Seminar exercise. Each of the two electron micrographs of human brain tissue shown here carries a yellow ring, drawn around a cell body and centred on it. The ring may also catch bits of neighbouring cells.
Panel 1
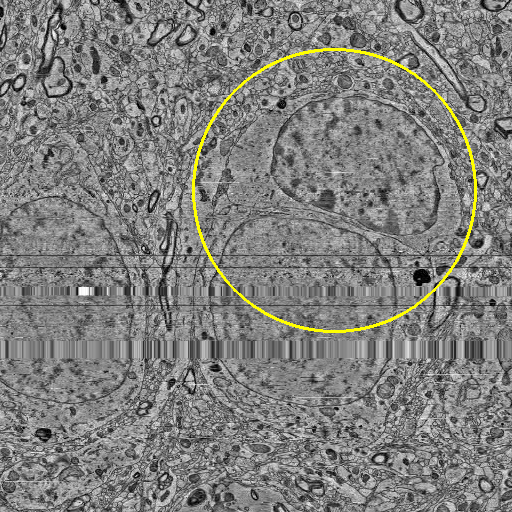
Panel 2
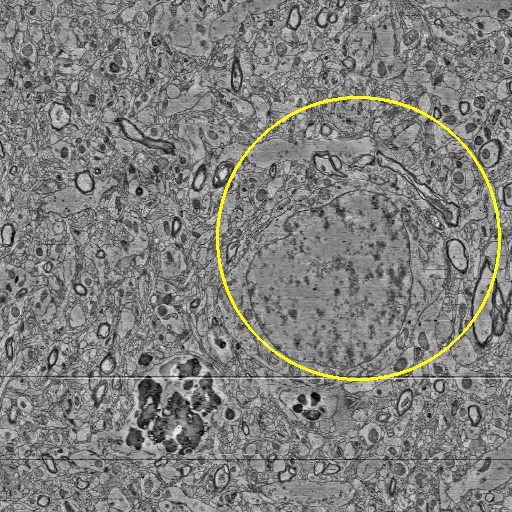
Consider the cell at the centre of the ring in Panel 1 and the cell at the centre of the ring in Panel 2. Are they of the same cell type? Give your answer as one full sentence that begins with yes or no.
No, the two cells are of two types.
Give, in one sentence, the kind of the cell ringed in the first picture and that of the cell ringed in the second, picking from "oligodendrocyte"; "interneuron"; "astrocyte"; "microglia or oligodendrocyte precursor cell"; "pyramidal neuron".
For the first picture it is a microglial cell or oligodendrocyte precursor cell; for the second, a pyramidal neuron.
